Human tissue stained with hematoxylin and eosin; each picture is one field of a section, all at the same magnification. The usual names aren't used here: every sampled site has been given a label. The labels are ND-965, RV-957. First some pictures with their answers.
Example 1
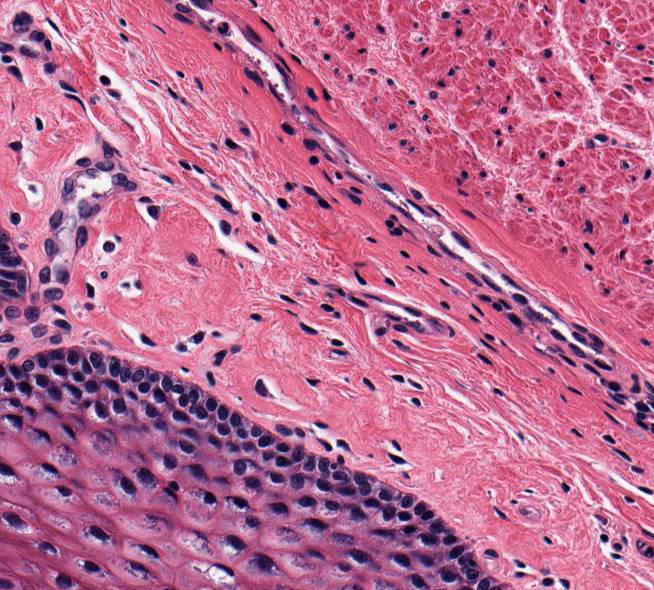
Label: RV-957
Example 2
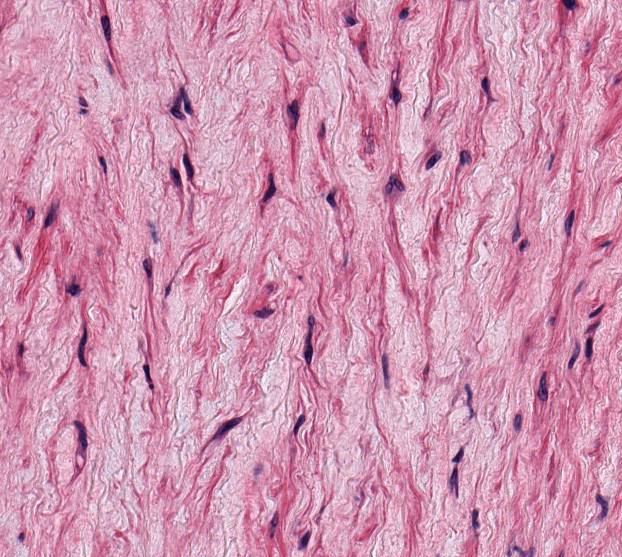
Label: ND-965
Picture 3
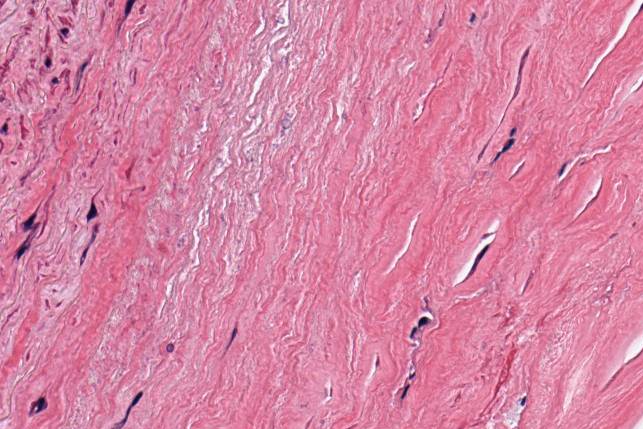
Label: ND-965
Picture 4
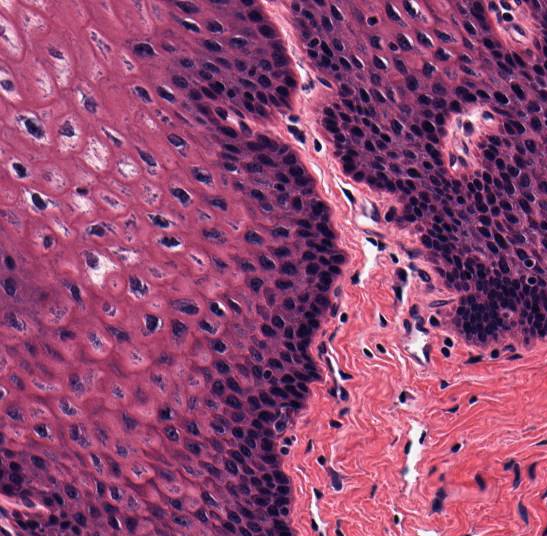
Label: RV-957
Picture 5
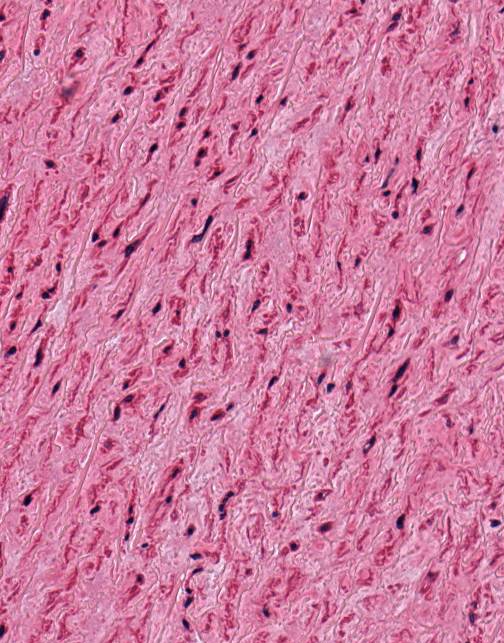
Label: ND-965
